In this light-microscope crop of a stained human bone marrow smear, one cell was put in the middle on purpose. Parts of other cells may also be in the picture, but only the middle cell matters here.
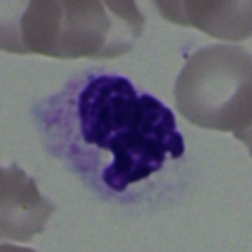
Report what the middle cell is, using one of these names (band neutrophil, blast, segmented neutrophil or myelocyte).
segmented neutrophil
